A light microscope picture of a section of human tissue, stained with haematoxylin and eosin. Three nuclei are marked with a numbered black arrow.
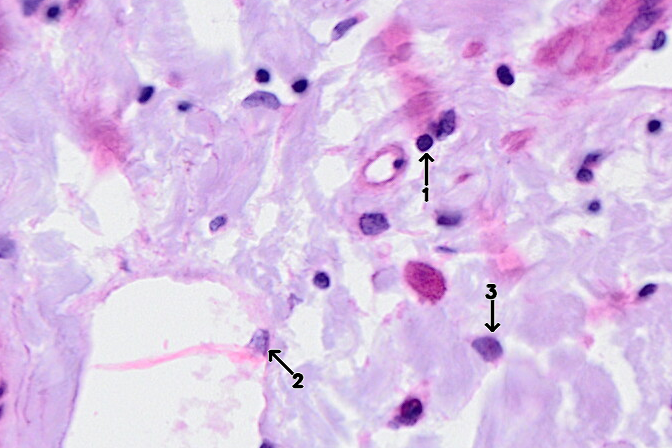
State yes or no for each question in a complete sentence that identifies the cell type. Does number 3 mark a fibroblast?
Yes, the cell carrying label 3 is a fibroblast.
